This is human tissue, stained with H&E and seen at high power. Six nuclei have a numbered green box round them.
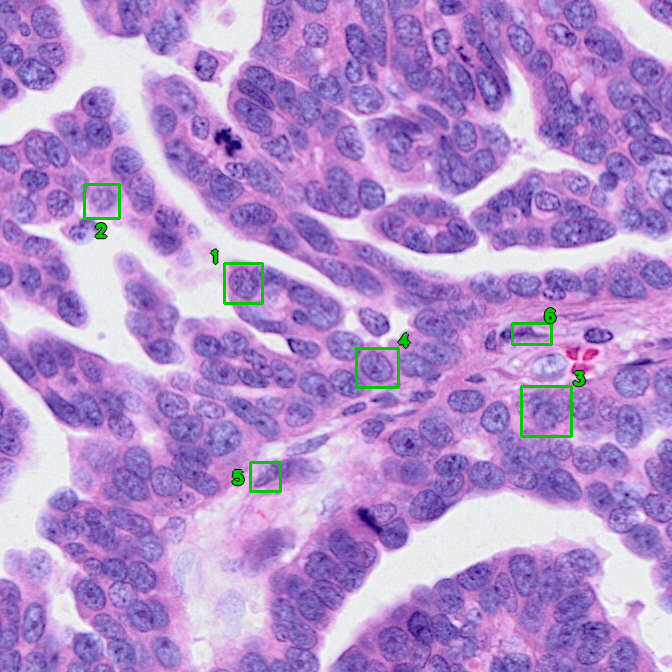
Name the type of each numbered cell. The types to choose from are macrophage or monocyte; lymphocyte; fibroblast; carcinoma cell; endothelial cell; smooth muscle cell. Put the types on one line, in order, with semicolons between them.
carcinoma cell; carcinoma cell; carcinoma cell; carcinoma cell; fibroblast; fibroblast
